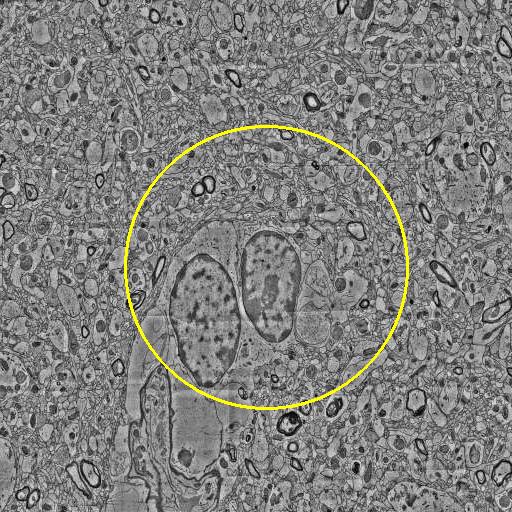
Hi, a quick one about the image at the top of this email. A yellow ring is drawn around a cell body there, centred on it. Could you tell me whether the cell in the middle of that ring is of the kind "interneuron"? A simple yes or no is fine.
no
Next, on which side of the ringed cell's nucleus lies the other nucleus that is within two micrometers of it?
The other nucleus is found to the left of it.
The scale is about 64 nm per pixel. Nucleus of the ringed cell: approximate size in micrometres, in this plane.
About 7 by 4 micrometers in this plane, so the nucleus is clearly longer than it is wide.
